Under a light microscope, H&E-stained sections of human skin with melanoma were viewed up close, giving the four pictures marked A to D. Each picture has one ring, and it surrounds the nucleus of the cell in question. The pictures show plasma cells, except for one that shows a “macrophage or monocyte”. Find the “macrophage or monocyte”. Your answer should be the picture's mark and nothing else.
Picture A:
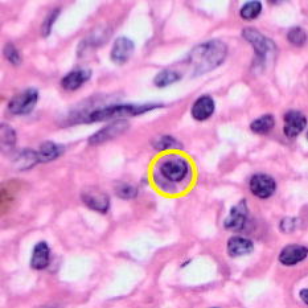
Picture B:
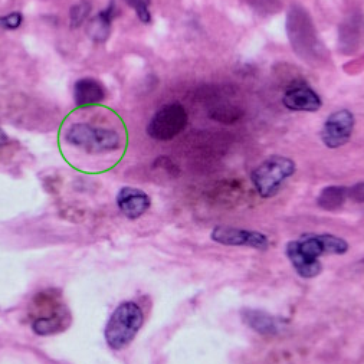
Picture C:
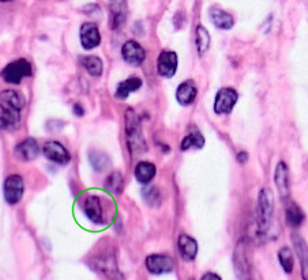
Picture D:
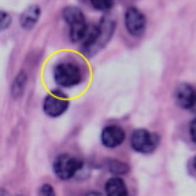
B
